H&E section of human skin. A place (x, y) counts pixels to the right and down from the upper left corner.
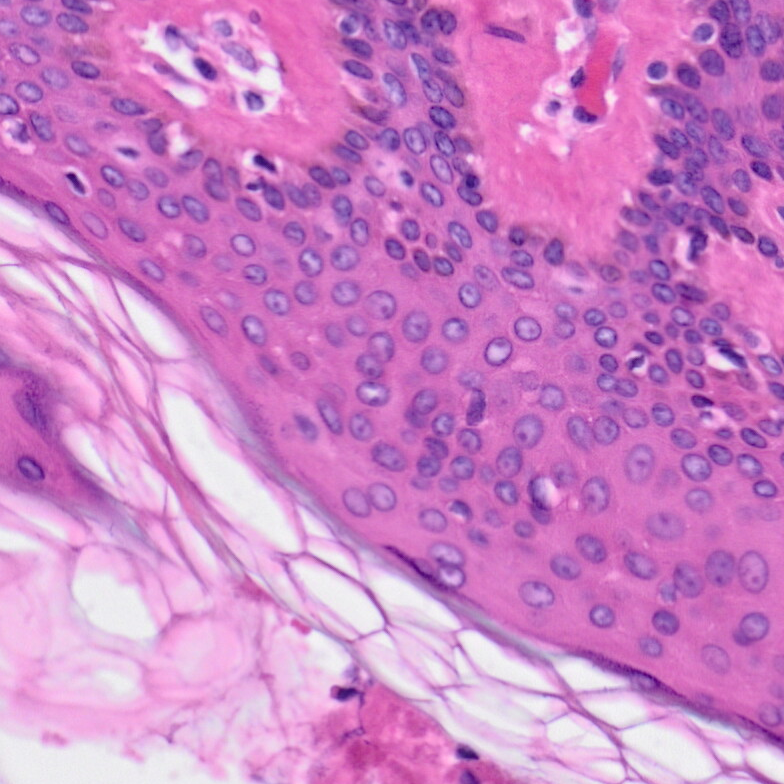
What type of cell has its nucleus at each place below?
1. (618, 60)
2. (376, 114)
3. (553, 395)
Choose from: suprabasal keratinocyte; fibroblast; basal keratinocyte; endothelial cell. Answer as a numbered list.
1. endothelial cell
2. basal keratinocyte
3. suprabasal keratinocyte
